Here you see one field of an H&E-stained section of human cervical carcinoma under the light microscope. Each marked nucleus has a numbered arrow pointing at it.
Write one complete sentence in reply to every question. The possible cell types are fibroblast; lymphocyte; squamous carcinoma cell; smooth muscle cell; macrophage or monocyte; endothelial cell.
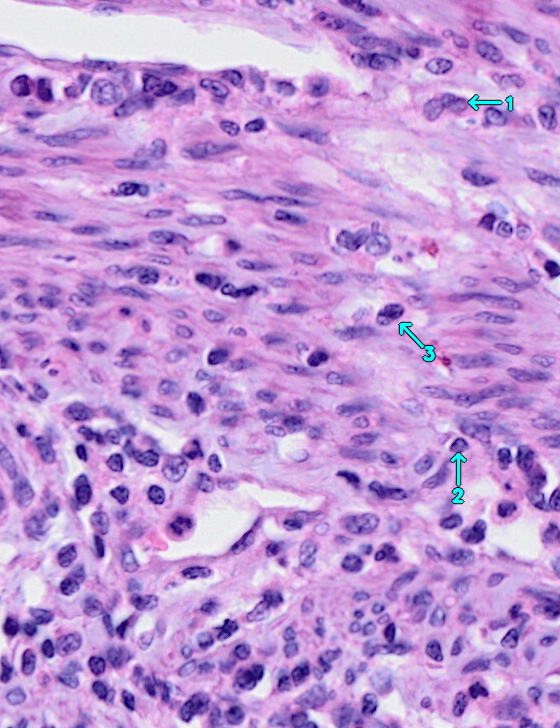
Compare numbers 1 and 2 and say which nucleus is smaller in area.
The smaller nucleus is 2, and 1 covers roughly 2 times its area.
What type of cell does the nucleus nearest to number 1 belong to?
It is a macrophage or monocyte whose nucleus is nearest to number 1.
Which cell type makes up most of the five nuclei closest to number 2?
Most of the five nuclei nearest to number 2 are those of fibroblasts.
